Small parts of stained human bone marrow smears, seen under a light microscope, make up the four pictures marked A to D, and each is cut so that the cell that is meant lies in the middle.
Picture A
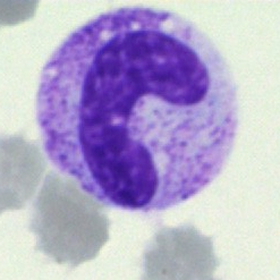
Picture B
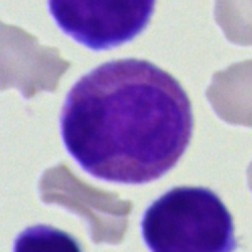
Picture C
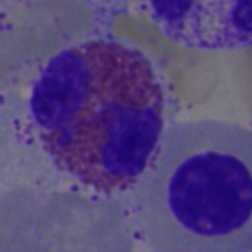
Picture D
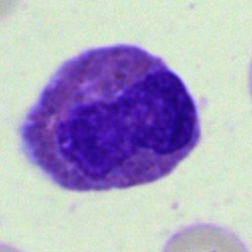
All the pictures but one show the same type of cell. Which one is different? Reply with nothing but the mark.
A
